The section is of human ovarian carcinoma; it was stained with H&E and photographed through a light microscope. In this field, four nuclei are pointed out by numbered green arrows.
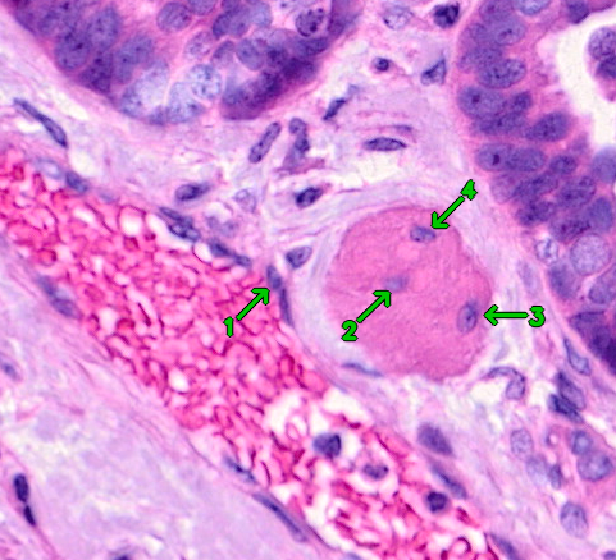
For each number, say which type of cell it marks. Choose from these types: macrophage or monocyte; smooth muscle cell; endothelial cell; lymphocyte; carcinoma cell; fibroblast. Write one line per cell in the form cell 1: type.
cell 1: endothelial cell
cell 2: smooth muscle cell
cell 3: smooth muscle cell
cell 4: smooth muscle cell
